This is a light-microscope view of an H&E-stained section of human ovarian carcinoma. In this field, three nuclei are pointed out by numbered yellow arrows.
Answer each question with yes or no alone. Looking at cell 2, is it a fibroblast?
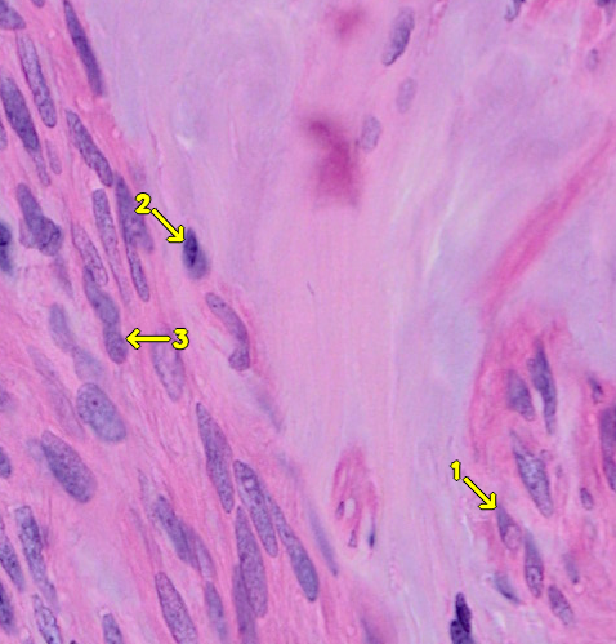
yes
